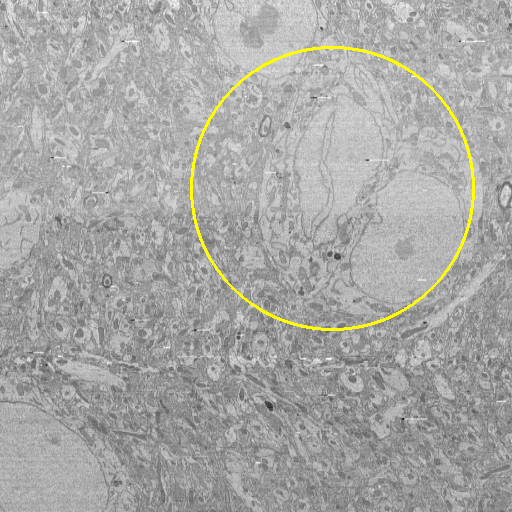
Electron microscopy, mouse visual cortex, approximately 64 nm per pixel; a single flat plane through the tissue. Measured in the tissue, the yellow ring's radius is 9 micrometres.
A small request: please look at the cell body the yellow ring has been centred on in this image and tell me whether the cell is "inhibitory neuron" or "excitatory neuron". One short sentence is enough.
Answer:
The cell marked by the ring is an inhibitory neuron.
